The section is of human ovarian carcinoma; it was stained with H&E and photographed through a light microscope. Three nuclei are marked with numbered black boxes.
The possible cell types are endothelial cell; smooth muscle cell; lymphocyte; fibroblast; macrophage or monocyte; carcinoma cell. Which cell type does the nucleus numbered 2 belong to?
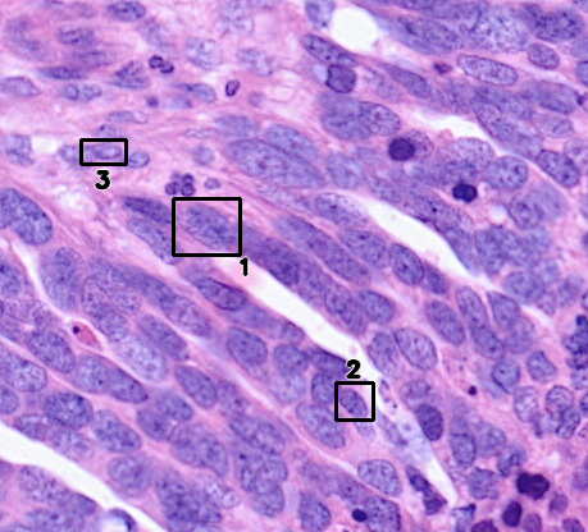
carcinoma cell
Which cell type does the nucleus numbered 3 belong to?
fibroblast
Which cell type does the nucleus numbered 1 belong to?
carcinoma cell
